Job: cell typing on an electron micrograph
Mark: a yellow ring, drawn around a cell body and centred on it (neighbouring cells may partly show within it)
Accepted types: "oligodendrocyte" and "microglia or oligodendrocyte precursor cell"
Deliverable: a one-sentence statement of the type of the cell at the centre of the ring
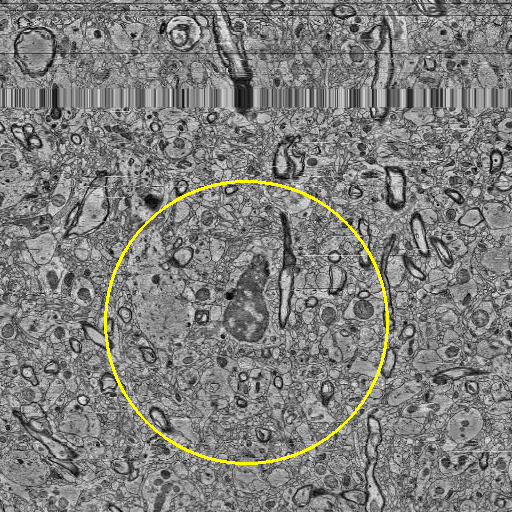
The centred cell body is that of a microglial cell or oligodendrocyte precursor cell.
